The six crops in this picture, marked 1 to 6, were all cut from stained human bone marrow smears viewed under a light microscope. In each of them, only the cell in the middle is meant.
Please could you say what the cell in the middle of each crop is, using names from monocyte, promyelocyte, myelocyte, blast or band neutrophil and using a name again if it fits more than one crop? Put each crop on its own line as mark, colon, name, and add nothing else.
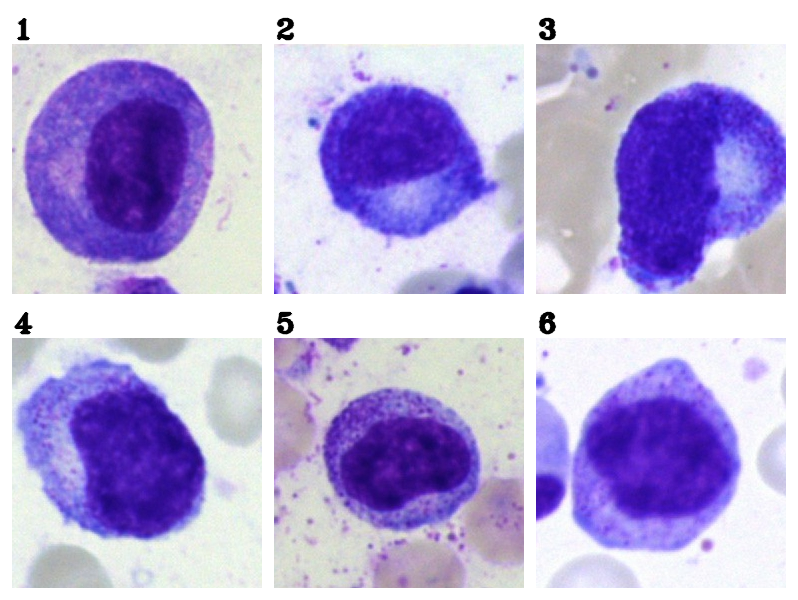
1: promyelocyte
2: promyelocyte
3: promyelocyte
4: myelocyte
5: myelocyte
6: promyelocyte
